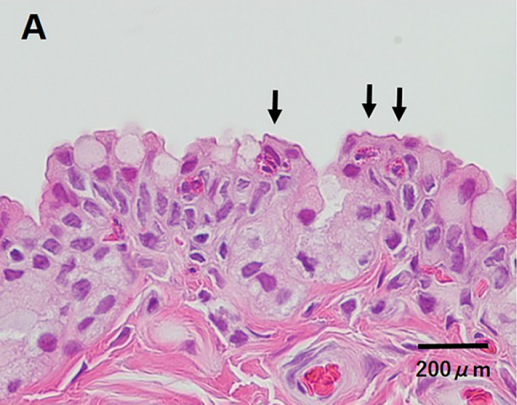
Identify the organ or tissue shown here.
Conjunctival epithelium.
